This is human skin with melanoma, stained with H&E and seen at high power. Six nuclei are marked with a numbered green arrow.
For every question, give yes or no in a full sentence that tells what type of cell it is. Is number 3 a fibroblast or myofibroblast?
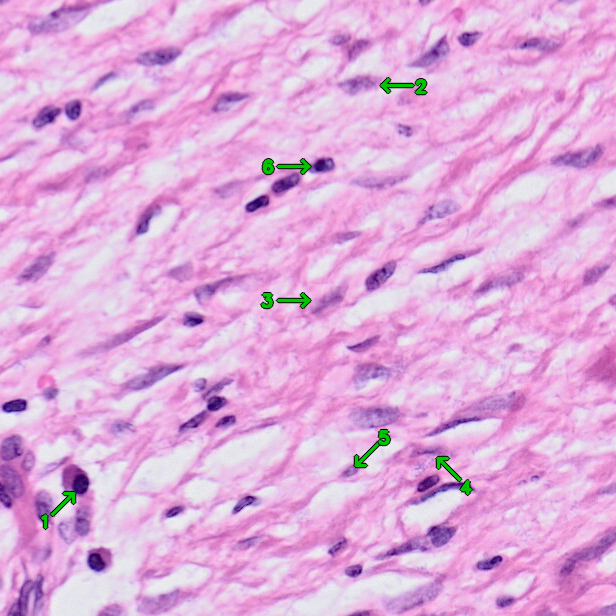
Yes, the nucleus numbered 3 belongs to a fibroblast or myofibroblast.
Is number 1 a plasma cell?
Yes, the cell with the number 1 is a plasma cell.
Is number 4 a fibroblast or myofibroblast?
Yes, the nucleus numbered 4 belongs to a fibroblast or myofibroblast.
